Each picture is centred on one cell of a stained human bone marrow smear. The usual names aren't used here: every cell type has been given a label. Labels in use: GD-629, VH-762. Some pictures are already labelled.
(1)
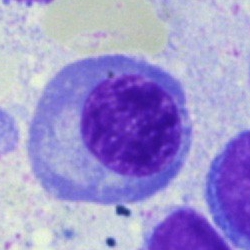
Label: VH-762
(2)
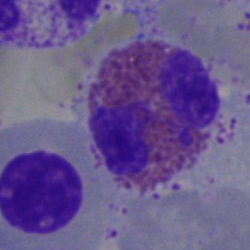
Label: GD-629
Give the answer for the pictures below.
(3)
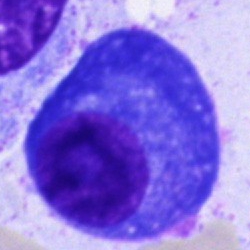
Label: VH-762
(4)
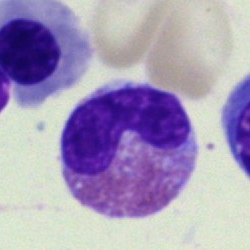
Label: GD-629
